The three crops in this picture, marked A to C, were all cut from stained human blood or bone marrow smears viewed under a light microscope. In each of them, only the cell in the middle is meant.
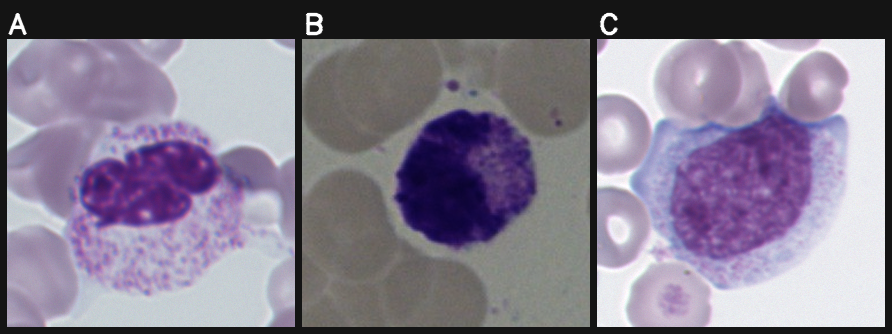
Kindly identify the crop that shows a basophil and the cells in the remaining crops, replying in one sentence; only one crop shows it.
Crop B is best given as a basophil, while crop A is a neutrophil and crop C is a promyelocyte.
